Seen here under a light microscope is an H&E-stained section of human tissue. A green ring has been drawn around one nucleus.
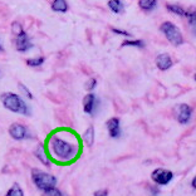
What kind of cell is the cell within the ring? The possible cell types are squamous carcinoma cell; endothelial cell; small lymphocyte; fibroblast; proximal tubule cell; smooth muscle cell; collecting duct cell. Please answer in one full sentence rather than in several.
In this section, the cell within the ring is a smooth muscle cell.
